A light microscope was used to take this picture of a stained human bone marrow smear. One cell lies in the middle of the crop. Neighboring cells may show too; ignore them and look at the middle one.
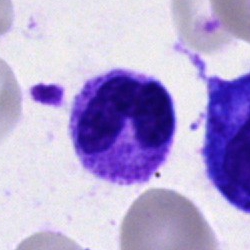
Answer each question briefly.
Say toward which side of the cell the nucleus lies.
top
